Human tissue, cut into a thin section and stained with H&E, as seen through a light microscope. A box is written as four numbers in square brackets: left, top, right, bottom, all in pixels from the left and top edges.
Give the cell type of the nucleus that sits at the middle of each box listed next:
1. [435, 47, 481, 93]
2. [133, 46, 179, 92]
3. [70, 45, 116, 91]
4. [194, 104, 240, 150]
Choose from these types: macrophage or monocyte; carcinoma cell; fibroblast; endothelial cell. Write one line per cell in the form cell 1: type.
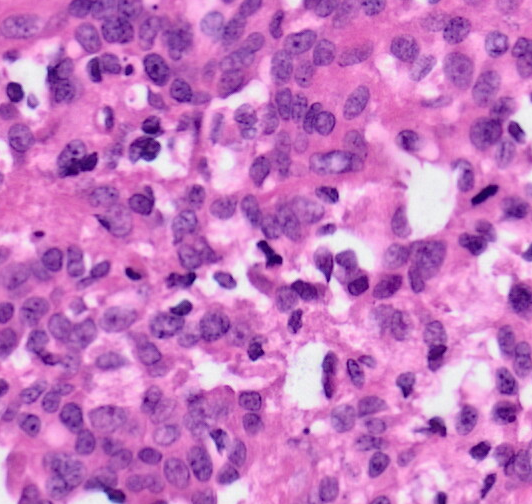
cell 1: carcinoma cell
cell 2: carcinoma cell
cell 3: carcinoma cell
cell 4: macrophage or monocyte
